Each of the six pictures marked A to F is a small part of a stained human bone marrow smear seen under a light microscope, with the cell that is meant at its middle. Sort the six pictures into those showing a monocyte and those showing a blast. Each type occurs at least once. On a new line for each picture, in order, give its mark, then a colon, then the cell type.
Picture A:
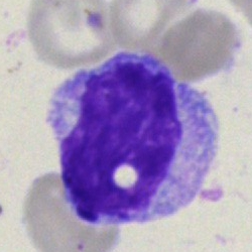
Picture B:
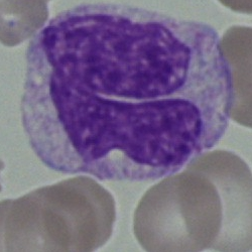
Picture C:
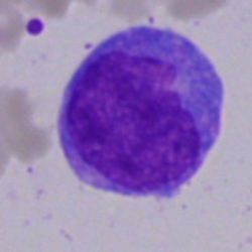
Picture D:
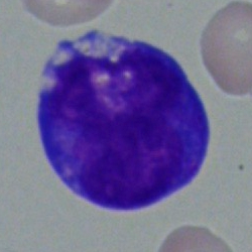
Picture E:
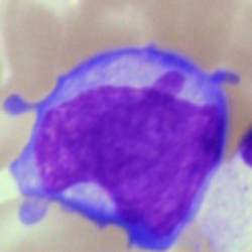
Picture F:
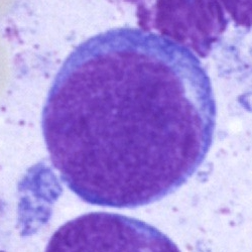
A: monocyte
B: monocyte
C: monocyte
D: blast
E: blast
F: blast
